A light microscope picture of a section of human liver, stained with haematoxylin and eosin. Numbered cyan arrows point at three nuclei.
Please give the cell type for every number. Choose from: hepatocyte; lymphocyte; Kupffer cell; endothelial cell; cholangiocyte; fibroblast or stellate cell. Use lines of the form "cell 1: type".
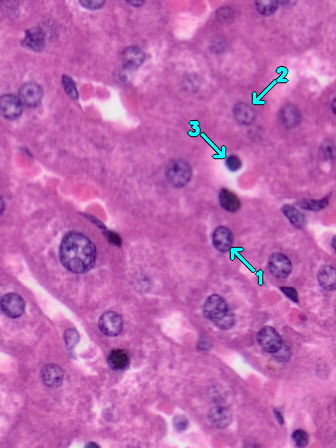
cell 1: hepatocyte
cell 2: hepatocyte
cell 3: lymphocyte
